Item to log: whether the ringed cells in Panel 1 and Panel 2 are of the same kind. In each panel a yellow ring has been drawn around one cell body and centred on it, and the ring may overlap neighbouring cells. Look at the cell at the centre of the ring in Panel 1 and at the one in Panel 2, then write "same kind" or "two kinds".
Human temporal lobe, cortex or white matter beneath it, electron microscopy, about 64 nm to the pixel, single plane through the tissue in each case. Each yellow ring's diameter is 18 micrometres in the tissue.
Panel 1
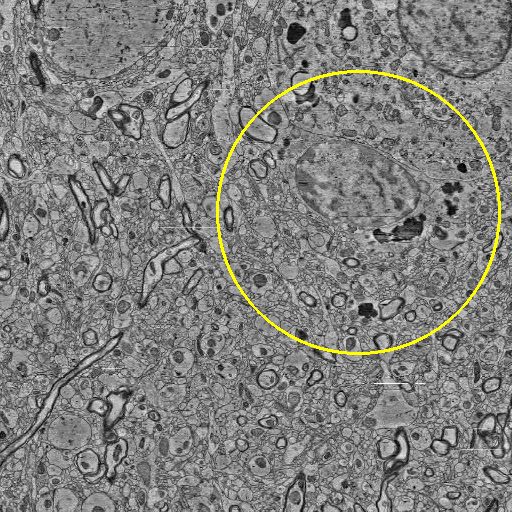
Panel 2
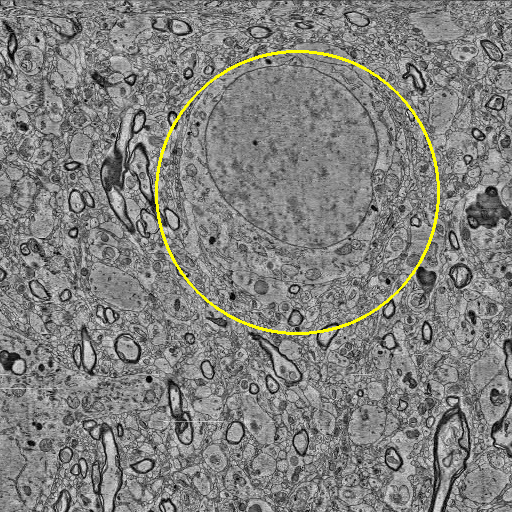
two kinds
